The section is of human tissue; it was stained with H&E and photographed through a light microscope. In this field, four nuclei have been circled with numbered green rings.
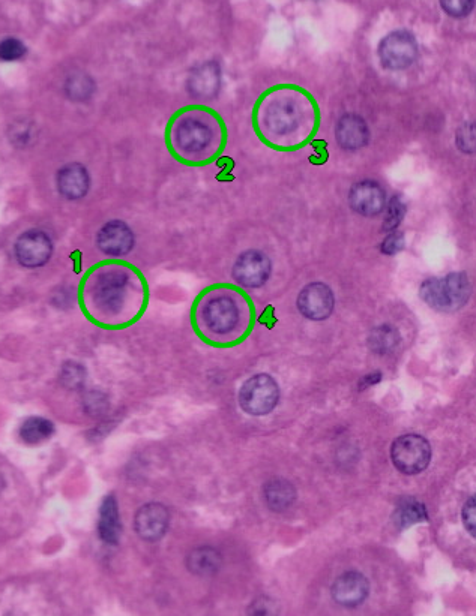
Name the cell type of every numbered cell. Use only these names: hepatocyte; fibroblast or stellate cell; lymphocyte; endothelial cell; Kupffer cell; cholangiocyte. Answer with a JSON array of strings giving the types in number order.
["endothelial cell", "hepatocyte", "hepatocyte", "hepatocyte"]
